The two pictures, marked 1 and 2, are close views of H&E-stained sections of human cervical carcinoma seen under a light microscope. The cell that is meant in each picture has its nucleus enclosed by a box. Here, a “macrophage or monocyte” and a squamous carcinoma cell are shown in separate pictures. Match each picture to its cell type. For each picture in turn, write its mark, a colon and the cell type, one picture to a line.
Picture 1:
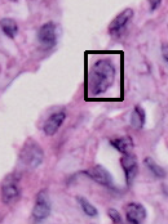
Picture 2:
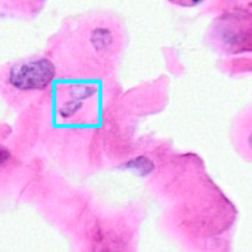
1: macrophage or monocyte
2: squamous carcinoma cell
